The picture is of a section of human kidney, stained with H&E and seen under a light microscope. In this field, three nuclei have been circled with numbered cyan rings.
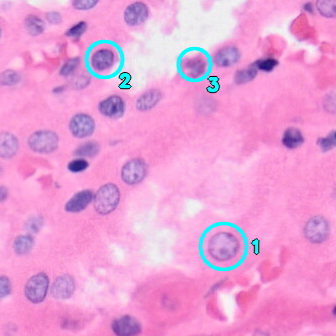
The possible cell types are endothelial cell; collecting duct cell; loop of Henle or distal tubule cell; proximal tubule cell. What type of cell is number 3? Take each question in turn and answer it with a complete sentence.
The cell bearing label 3 corresponds to a loop of Henle or distal tubule cell.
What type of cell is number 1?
The cell that is numbered 1 is a proximal tubule cell.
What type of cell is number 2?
The cell referenced by the number 2 is a loop of Henle or distal tubule cell in this field.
